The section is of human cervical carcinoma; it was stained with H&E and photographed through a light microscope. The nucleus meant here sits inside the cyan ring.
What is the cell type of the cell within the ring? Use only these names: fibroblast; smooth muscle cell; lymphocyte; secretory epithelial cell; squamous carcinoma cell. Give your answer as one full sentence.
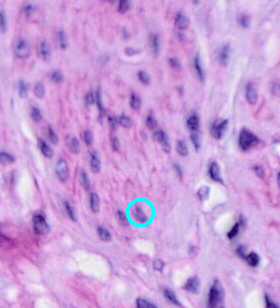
Placed in its cell category, the cell within the ring is a smooth muscle cell.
